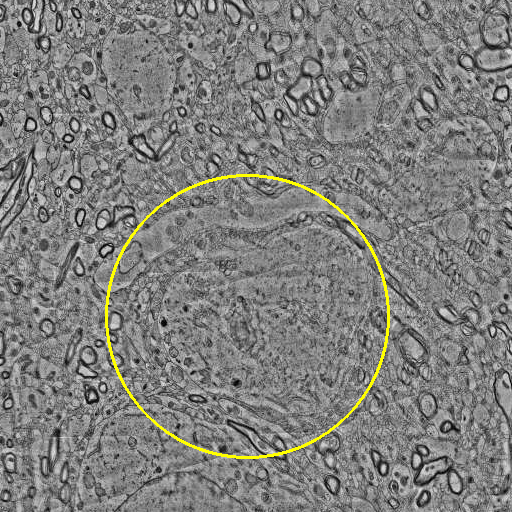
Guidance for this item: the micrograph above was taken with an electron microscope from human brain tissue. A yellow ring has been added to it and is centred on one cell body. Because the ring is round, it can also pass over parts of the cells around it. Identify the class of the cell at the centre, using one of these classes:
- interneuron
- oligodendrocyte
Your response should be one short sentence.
The ring surrounds the body of an oligodendrocyte.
